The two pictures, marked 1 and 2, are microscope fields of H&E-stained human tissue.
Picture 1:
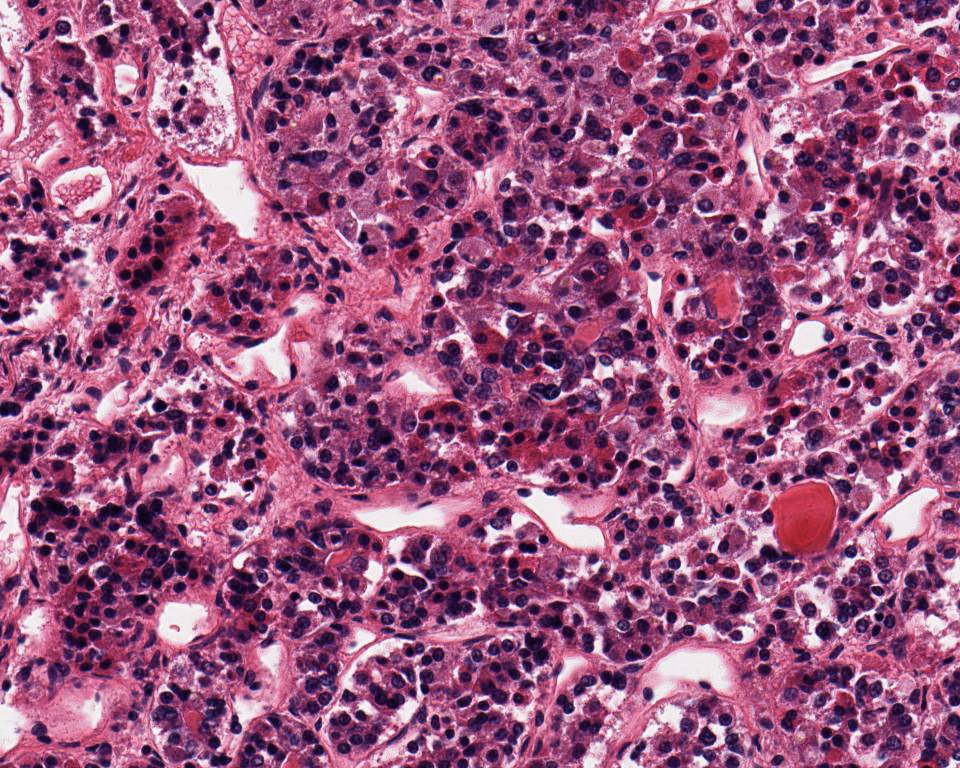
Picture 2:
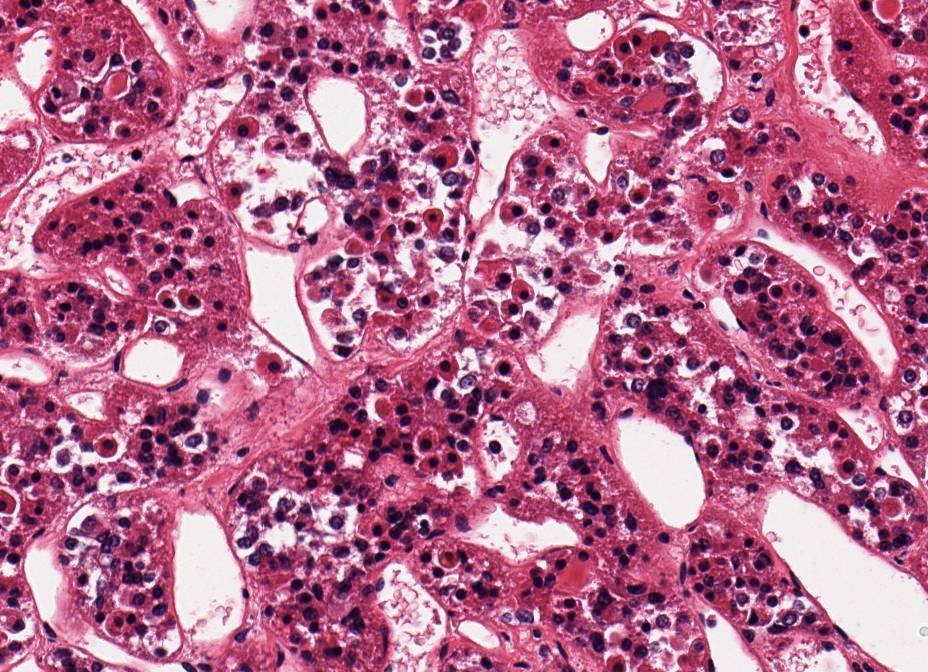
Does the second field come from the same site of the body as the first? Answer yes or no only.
yes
